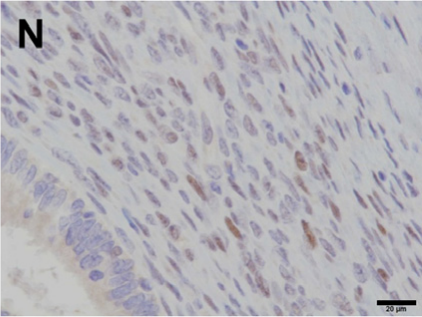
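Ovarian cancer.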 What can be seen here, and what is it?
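Densely packed spindle-shaped cells run in parallel streams; their nuclei are elongated and oval with tapered ends. Many nuclei are stained brown, with varying intensity, while others are blue. Cytoplasm is scant and unstained, with pale fibrous matrix between cells. At the lower left edge a strip of columnar epithelium with blue, crowded nuclei borders the stroma, its nuclei lacking the brown stain.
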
